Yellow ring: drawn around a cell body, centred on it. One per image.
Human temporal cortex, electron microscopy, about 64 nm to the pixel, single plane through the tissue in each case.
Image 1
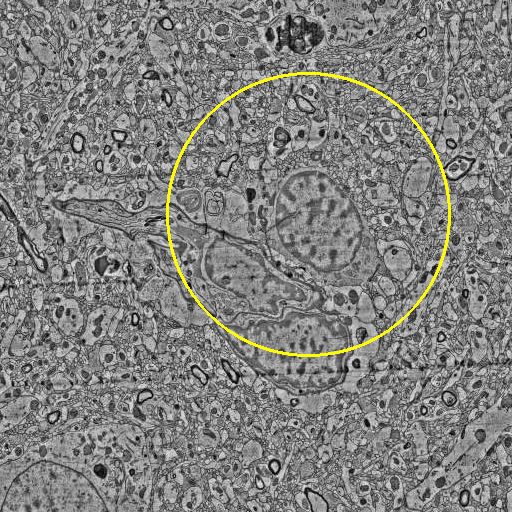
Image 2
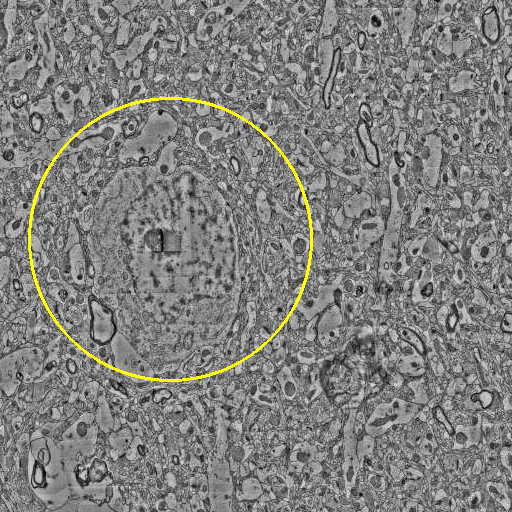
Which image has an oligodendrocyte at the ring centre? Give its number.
1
